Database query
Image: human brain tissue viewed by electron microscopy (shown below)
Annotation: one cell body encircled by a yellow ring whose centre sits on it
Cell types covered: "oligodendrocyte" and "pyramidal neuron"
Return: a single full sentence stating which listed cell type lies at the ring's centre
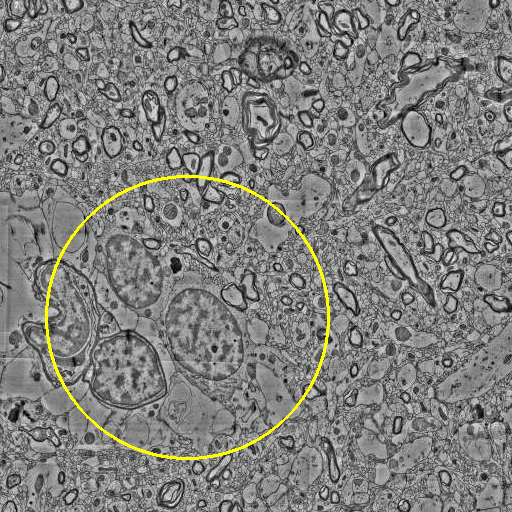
In the image, the cell lying at the ring's centre is an oligodendrocyte.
